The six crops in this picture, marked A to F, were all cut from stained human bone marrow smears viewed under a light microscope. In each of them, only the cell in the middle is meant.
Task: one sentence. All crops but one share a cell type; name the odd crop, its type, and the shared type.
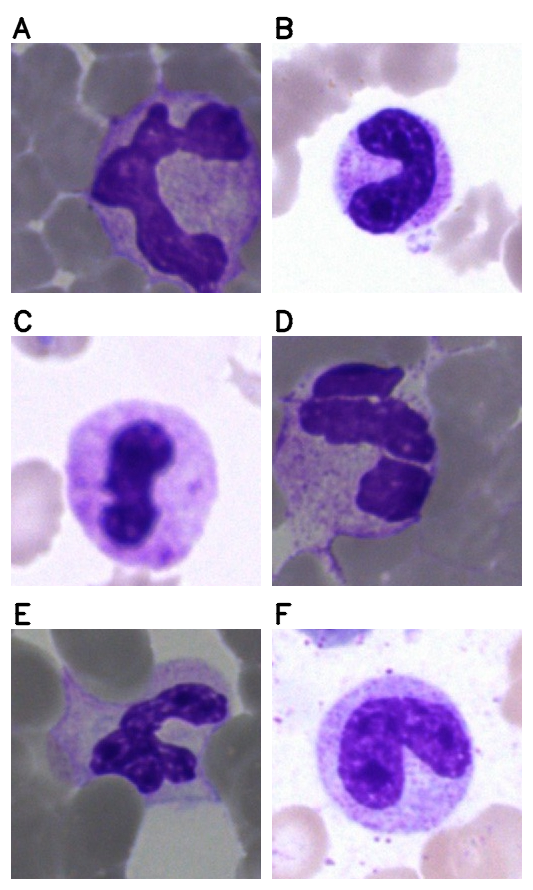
Just crop F is a band neutrophil; all the other crops show segmented neutrophils.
